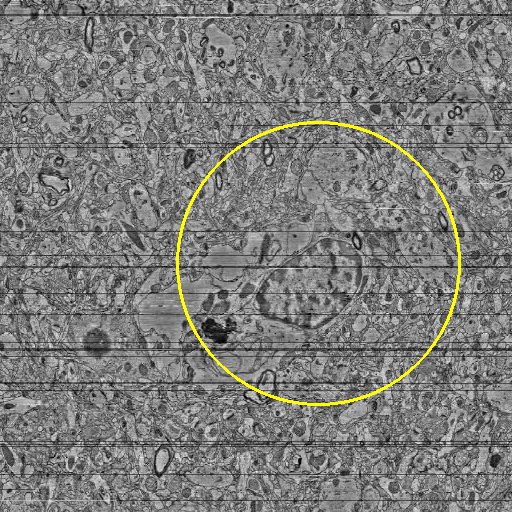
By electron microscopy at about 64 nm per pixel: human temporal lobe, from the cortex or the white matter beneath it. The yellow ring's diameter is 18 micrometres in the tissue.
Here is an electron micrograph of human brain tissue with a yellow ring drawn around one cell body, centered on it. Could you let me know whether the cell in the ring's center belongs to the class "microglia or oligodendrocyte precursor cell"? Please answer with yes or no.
yes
